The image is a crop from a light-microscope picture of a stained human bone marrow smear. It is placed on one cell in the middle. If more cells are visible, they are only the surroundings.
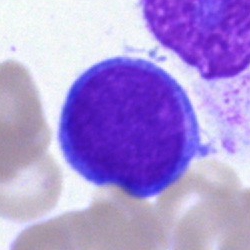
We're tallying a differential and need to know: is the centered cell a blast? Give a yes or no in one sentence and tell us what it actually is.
Yes, the crop is centred on a blast.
